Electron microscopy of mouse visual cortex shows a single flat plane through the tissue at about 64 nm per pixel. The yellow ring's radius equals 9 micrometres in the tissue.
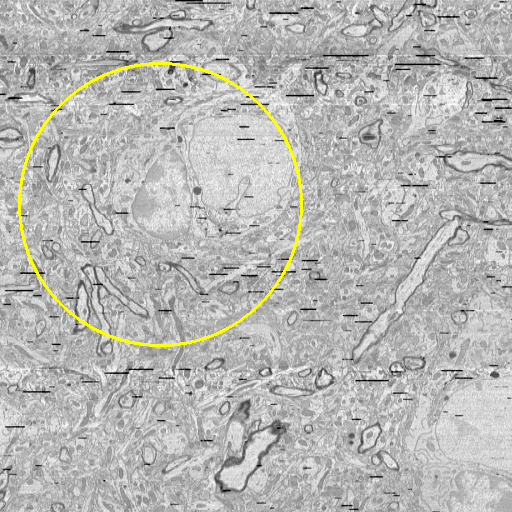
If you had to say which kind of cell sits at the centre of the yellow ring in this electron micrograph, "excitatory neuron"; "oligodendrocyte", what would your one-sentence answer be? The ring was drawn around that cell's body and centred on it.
The cell sitting at the centre of the ring is an oligodendrocyte.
